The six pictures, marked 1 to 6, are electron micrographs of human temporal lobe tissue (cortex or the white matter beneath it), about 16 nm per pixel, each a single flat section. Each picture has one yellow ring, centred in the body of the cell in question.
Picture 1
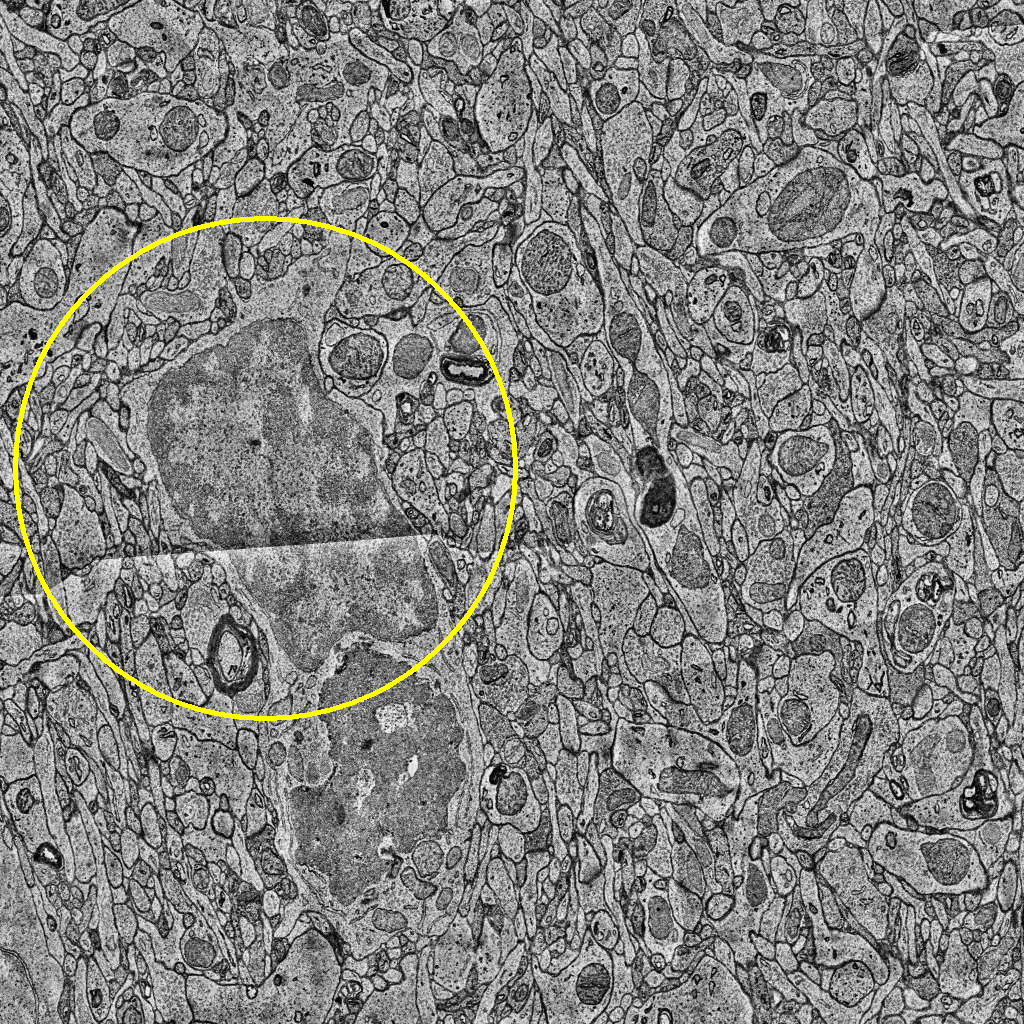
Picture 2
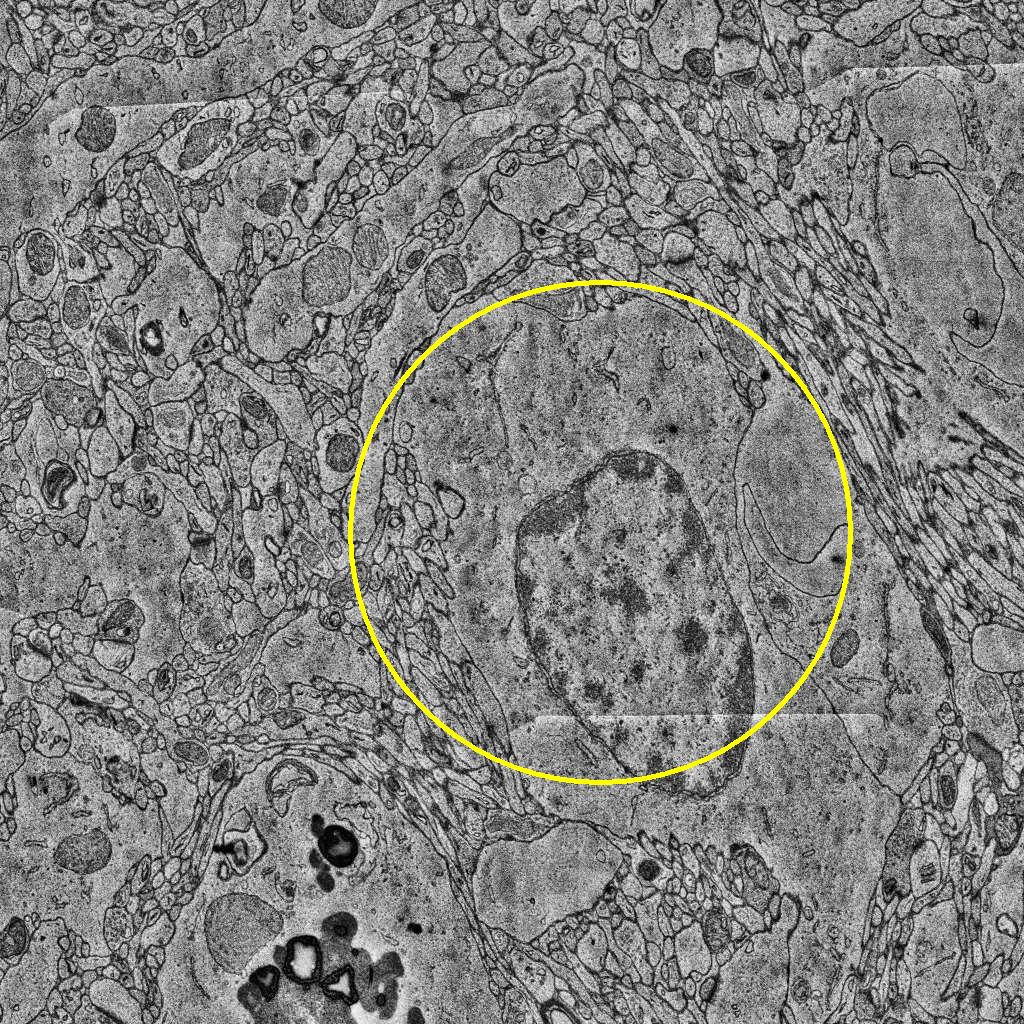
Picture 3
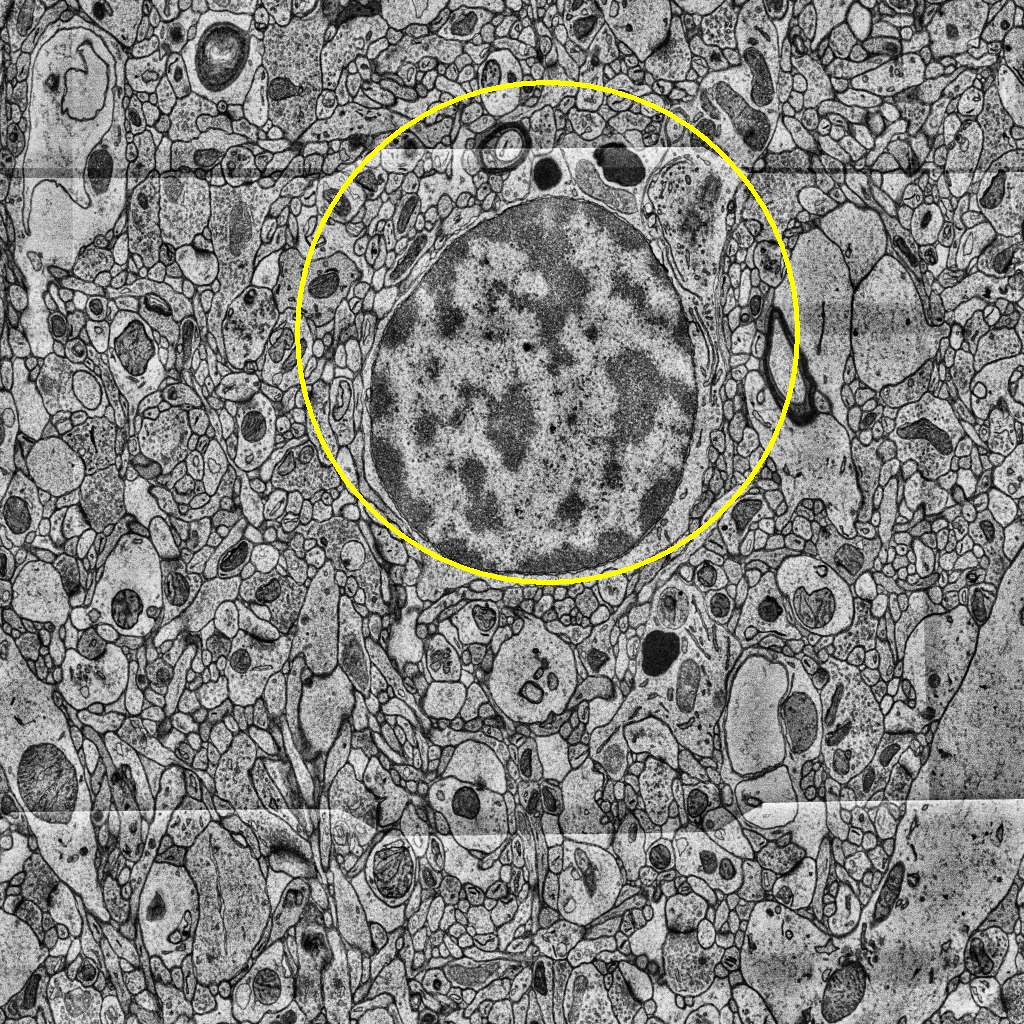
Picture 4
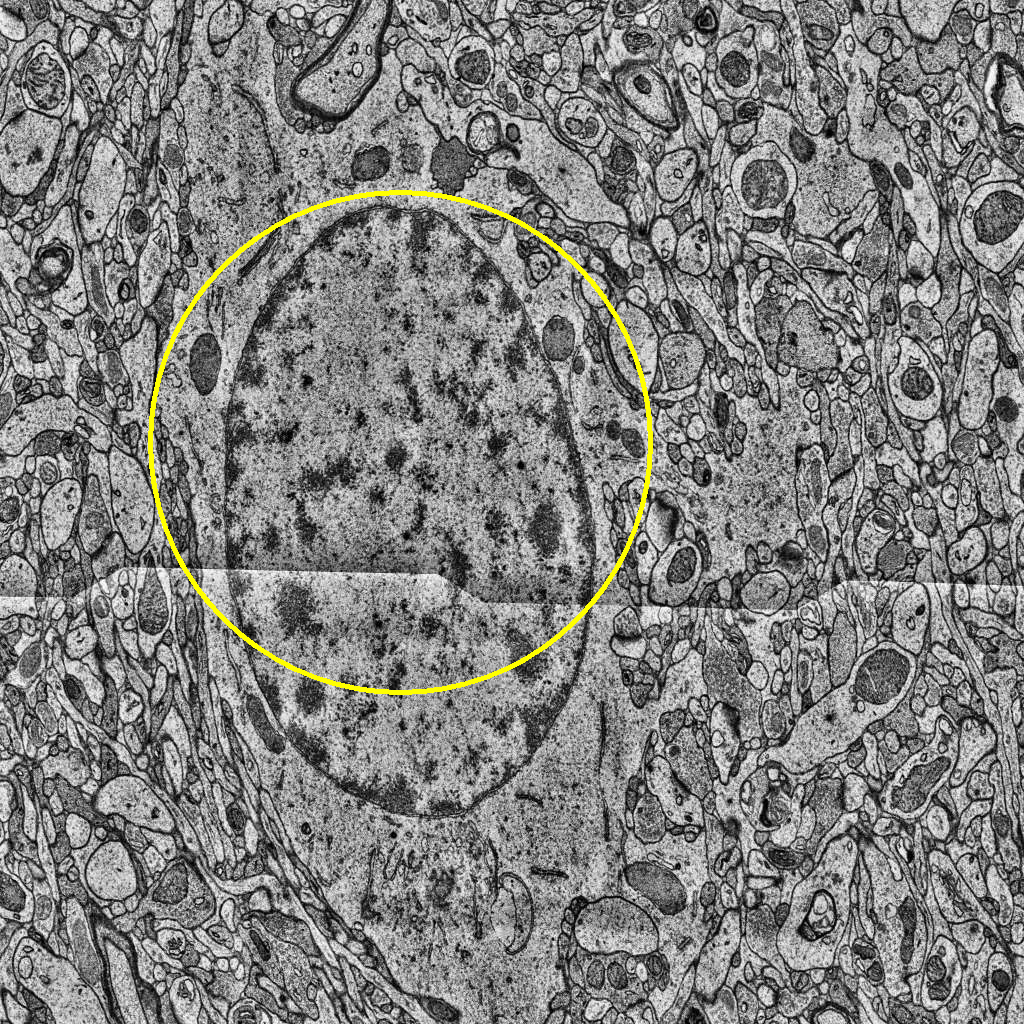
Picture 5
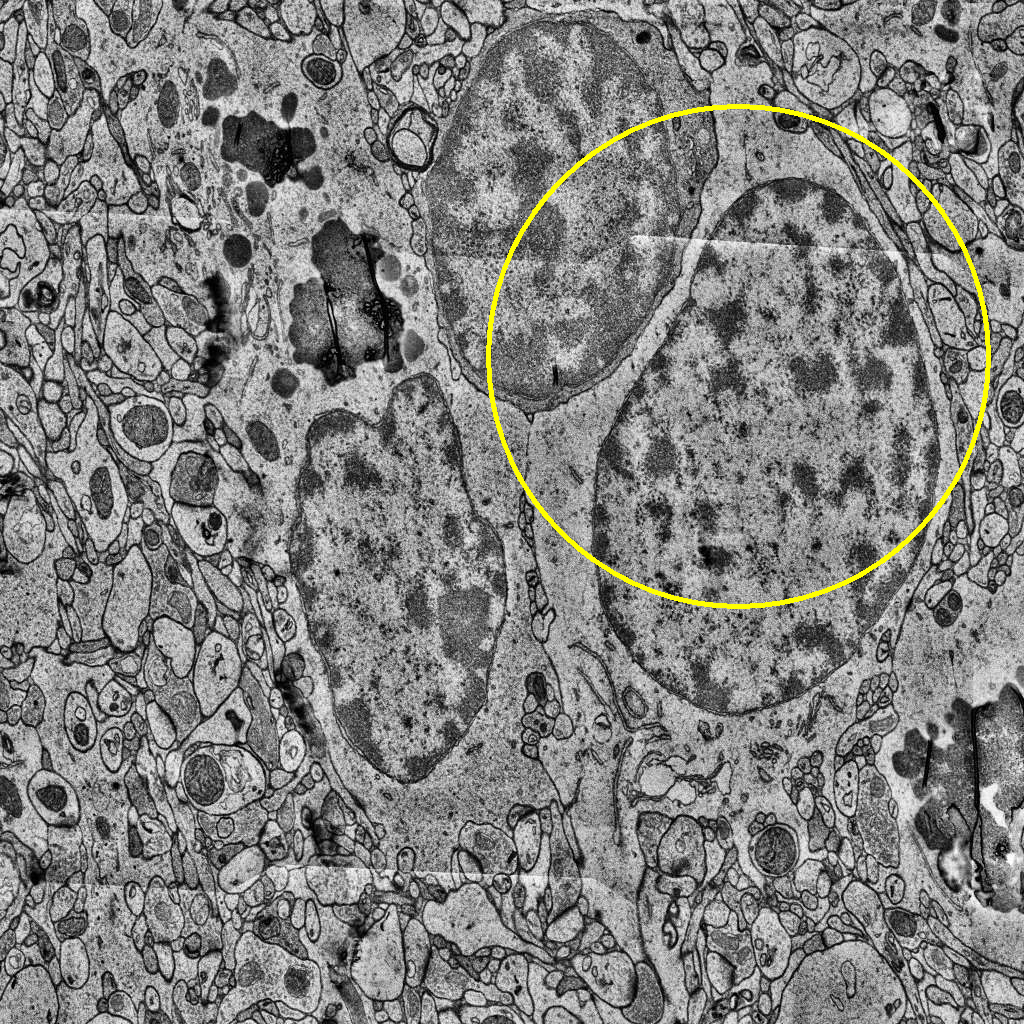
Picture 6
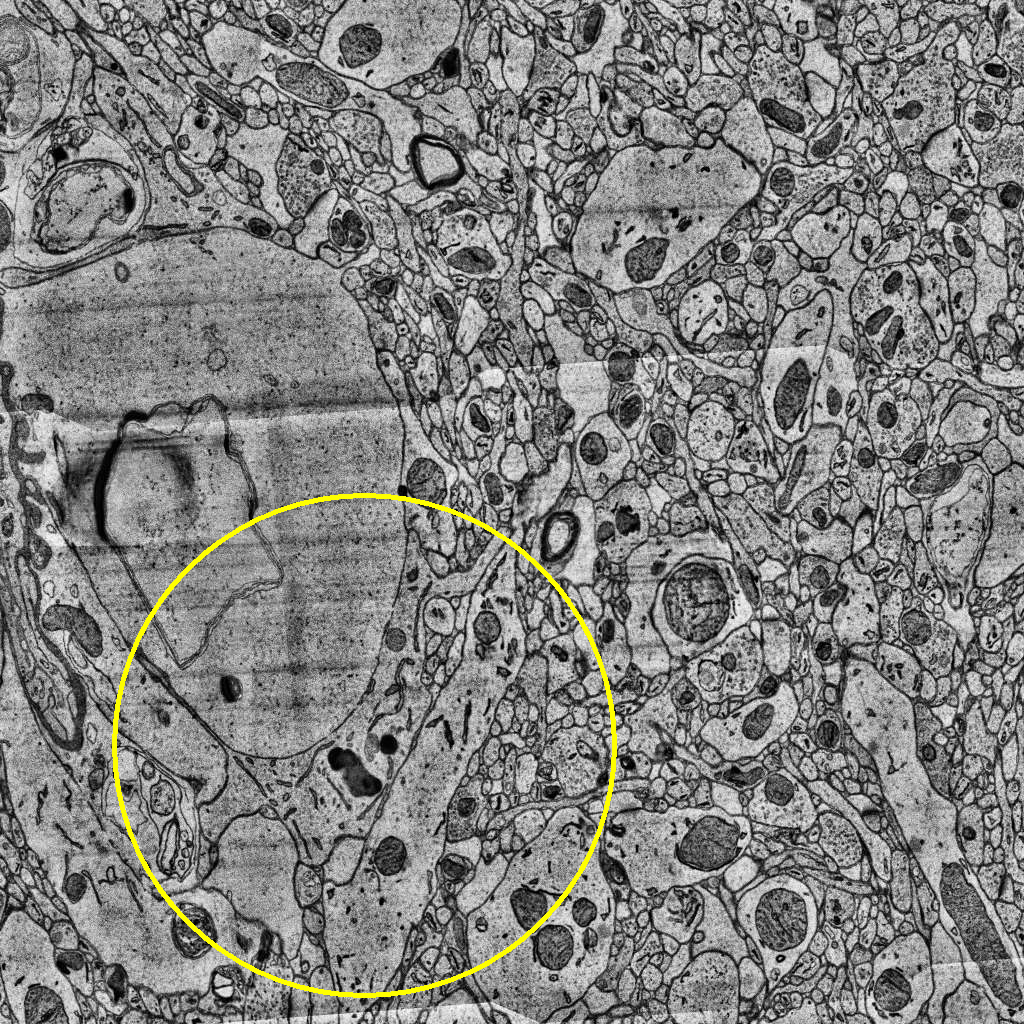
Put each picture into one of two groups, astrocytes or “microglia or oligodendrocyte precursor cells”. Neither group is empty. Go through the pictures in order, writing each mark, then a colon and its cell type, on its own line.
1: microglia or oligodendrocyte precursor cell
2: astrocyte
3: microglia or oligodendrocyte precursor cell
4: astrocyte
5: astrocyte
6: microglia or oligodendrocyte precursor cell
